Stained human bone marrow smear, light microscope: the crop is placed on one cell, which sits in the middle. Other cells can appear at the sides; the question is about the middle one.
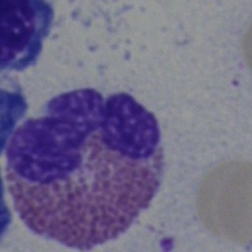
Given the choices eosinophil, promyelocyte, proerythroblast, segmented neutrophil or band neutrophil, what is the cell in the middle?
eosinophil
